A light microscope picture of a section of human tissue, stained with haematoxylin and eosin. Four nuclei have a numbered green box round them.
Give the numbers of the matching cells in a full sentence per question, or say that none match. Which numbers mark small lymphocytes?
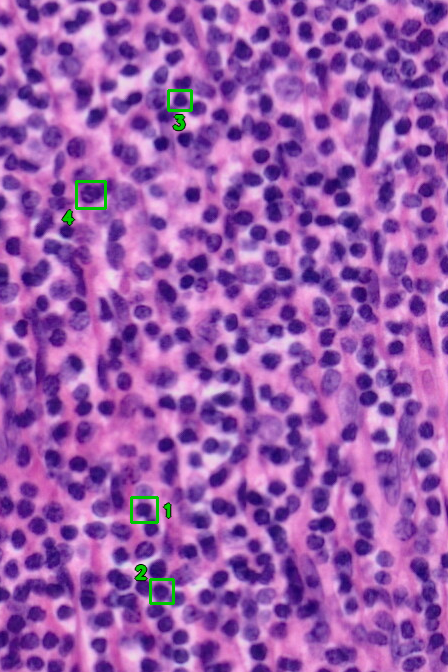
Cells 1, 2 and 3 share one type; they are small lymphocytes.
